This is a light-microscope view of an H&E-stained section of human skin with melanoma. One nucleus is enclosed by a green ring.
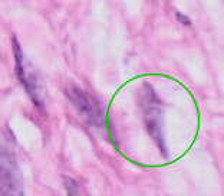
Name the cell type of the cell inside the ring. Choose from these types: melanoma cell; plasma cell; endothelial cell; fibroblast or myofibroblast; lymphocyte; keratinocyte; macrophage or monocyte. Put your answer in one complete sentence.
The cell inside the ring appears to be a fibroblast or myofibroblast.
